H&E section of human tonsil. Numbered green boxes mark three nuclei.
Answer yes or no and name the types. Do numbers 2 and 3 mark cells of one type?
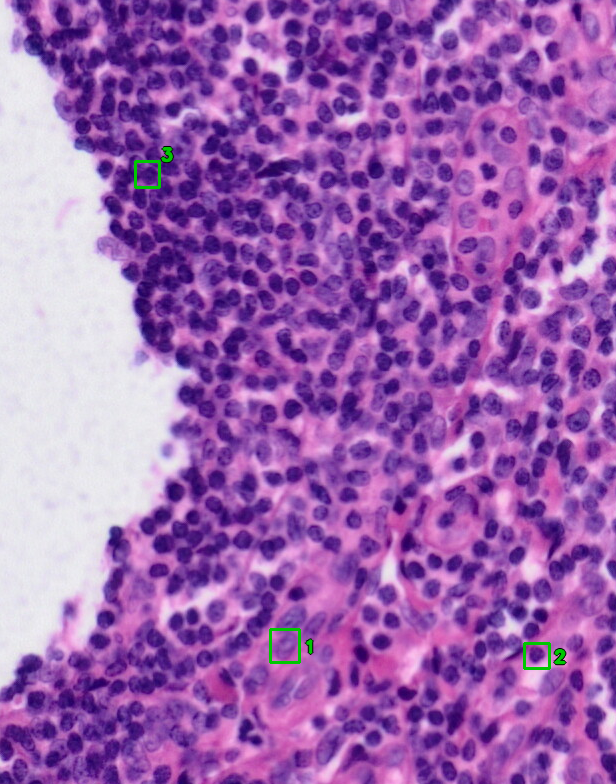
No, cell 2 is an endothelial cell, while cell 3 is a small lymphocyte.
